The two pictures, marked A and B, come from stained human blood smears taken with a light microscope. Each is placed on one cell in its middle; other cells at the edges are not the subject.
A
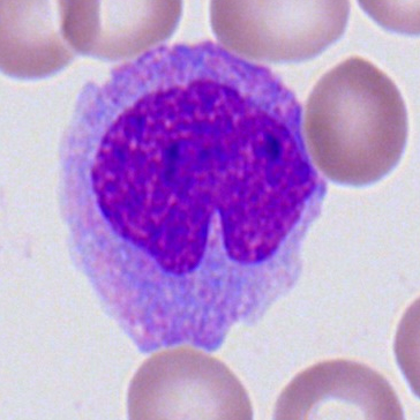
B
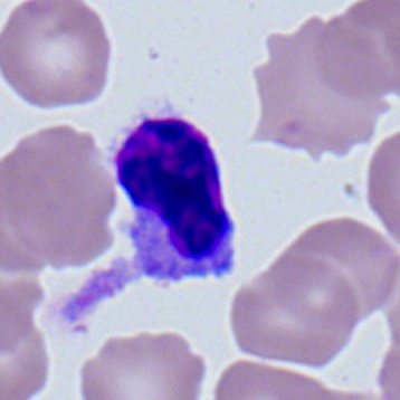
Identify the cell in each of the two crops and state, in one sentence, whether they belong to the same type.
No, the cell centred in crop A is a monocyte, and that centred in crop B is a lymphocyte.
